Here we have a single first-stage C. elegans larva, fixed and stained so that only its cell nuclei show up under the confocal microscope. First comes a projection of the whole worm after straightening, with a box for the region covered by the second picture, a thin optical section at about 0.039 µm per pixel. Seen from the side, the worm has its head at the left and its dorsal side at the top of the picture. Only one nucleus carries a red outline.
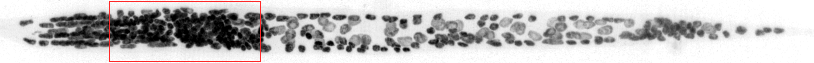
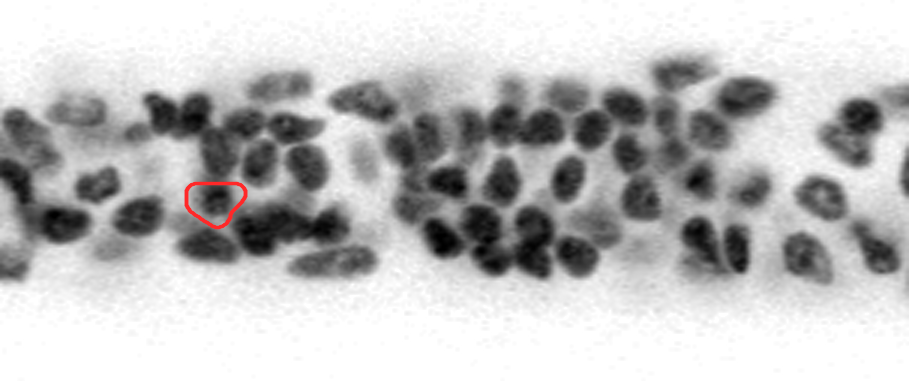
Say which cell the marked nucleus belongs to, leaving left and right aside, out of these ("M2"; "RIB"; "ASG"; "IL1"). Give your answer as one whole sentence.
It is the nucleus of IL1, a neuron.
